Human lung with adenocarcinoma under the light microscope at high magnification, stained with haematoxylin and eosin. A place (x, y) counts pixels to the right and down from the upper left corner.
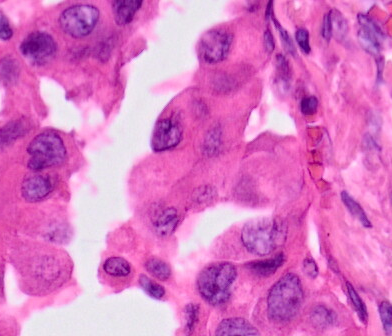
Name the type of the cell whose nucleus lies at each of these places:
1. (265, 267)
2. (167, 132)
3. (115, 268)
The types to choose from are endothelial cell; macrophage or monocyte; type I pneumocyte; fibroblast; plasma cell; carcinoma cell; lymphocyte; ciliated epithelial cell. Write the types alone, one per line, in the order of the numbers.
carcinoma cell
carcinoma cell
macrophage or monocyte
